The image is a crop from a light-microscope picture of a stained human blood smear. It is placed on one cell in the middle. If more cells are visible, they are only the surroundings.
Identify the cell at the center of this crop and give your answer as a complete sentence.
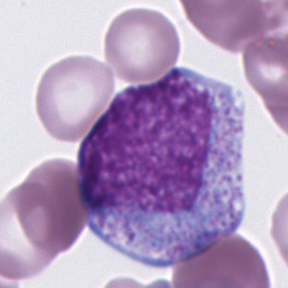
In this smear crop, the middle cell is a myelocyte.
